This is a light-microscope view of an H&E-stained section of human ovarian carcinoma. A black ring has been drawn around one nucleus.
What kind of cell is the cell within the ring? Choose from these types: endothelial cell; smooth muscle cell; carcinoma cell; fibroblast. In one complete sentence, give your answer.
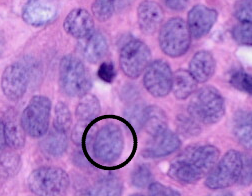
Within this tissue, the cell within the ring is a carcinoma cell.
